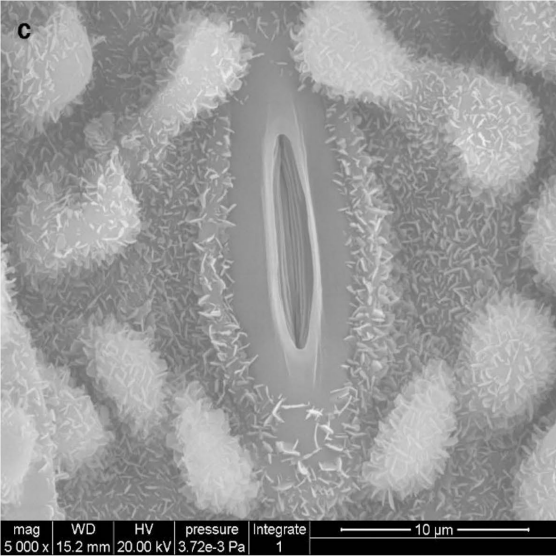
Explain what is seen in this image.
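This scanning electron view of the leaf surface centres on a single stoma lying in a smooth, elongated depression. The pore is spindle-shaped and visibly gaping, so that the inner walls of the opening can be seen between its lips. On either side of the stoma runs a band densely covered with small flake- or rod-like particles. Beyond these bands, rounded and irregular protrusions of the epidermal surface, also thickly coated with such particles, surround the stoma. The smooth zone directly around the pore stands out against the rough, particle-covered surface elsewhere.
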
